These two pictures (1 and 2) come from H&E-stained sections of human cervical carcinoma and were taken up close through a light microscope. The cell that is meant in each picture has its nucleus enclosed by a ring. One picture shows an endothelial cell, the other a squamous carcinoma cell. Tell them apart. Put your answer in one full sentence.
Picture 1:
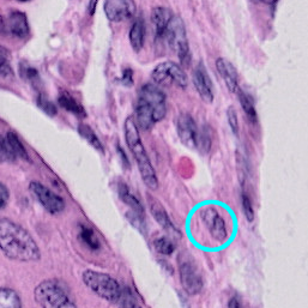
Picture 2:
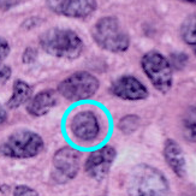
The cell in picture 1 is an endothelial cell, and the one in picture 2 is a squamous carcinoma cell.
